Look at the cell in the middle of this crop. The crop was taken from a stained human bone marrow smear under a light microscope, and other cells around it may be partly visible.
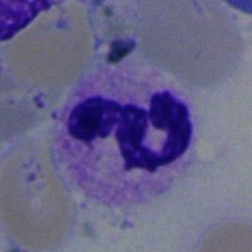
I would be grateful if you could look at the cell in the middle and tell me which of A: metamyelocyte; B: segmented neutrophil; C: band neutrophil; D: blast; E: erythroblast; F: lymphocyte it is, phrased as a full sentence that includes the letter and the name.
Option B is to be chosen, as the central cell is a segmented neutrophil.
